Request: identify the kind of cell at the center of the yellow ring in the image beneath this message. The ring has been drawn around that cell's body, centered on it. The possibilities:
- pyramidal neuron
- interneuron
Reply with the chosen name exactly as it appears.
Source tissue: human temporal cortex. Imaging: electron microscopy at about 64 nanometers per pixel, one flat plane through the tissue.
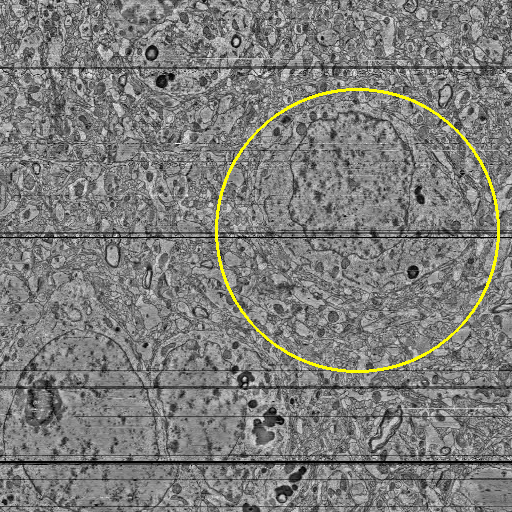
pyramidal neuron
